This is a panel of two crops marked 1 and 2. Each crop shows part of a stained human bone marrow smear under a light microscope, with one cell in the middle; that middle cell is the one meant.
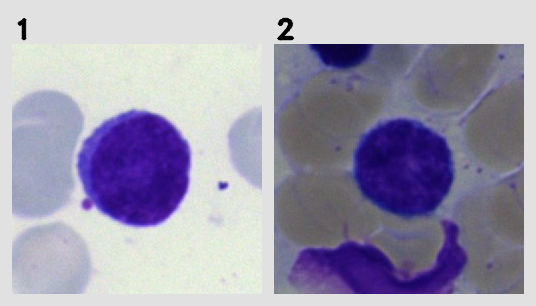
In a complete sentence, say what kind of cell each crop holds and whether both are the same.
Yes, with regard to both crops, the central cells are lymphocytes.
